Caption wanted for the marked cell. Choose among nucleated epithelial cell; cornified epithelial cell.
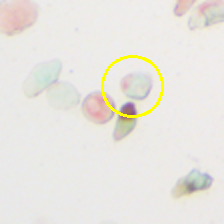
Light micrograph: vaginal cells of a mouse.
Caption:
Ringed in yellow is a nucleated epithelial cell.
